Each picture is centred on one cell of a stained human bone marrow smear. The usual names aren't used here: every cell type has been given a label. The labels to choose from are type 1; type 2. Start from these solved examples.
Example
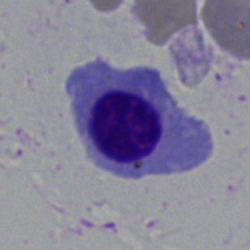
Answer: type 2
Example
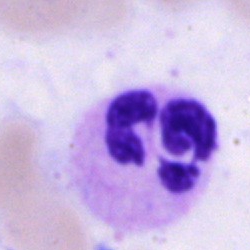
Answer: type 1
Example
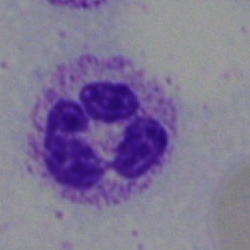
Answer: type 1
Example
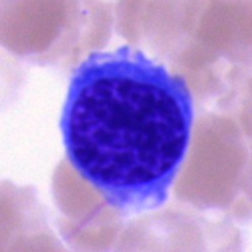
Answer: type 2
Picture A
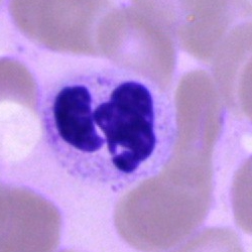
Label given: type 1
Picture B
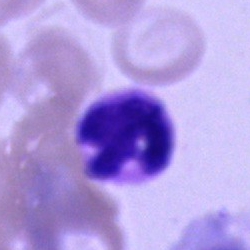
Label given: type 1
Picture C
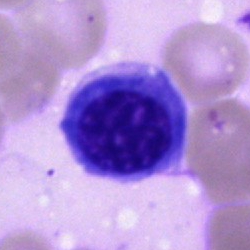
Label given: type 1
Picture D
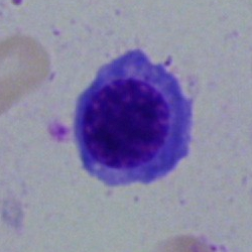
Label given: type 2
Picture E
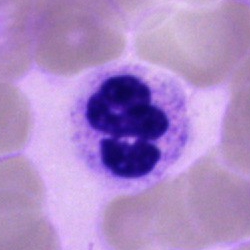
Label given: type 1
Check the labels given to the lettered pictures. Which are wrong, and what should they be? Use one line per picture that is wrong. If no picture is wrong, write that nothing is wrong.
C: change type 1 to type 2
